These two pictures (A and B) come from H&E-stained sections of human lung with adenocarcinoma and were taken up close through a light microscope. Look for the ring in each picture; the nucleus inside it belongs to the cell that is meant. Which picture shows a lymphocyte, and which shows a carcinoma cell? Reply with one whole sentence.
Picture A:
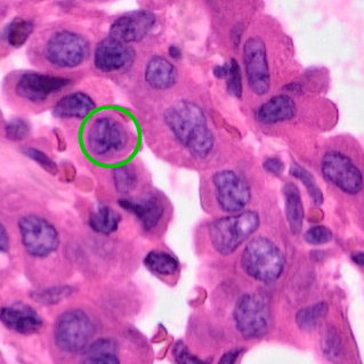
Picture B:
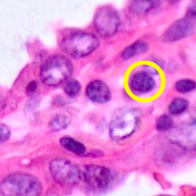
In picture A the cell is a carcinoma cell; in picture B, a lymphocyte.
